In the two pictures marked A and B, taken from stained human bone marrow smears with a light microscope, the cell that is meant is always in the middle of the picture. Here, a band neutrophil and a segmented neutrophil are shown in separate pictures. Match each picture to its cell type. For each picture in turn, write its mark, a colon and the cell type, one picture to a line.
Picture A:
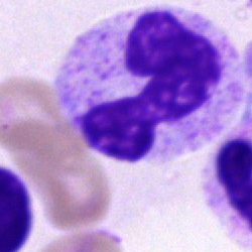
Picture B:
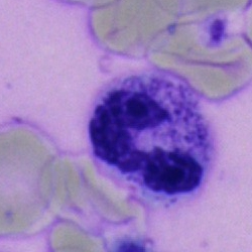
A: band neutrophil
B: segmented neutrophil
